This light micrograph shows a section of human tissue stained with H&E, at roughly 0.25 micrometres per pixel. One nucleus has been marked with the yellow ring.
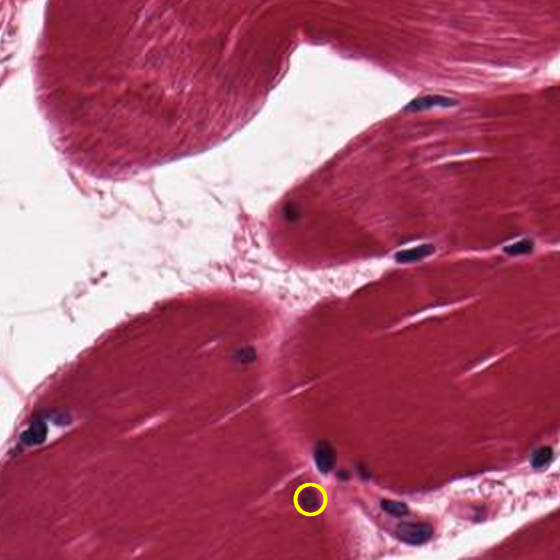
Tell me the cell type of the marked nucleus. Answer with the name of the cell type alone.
skeletal muscle fibre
